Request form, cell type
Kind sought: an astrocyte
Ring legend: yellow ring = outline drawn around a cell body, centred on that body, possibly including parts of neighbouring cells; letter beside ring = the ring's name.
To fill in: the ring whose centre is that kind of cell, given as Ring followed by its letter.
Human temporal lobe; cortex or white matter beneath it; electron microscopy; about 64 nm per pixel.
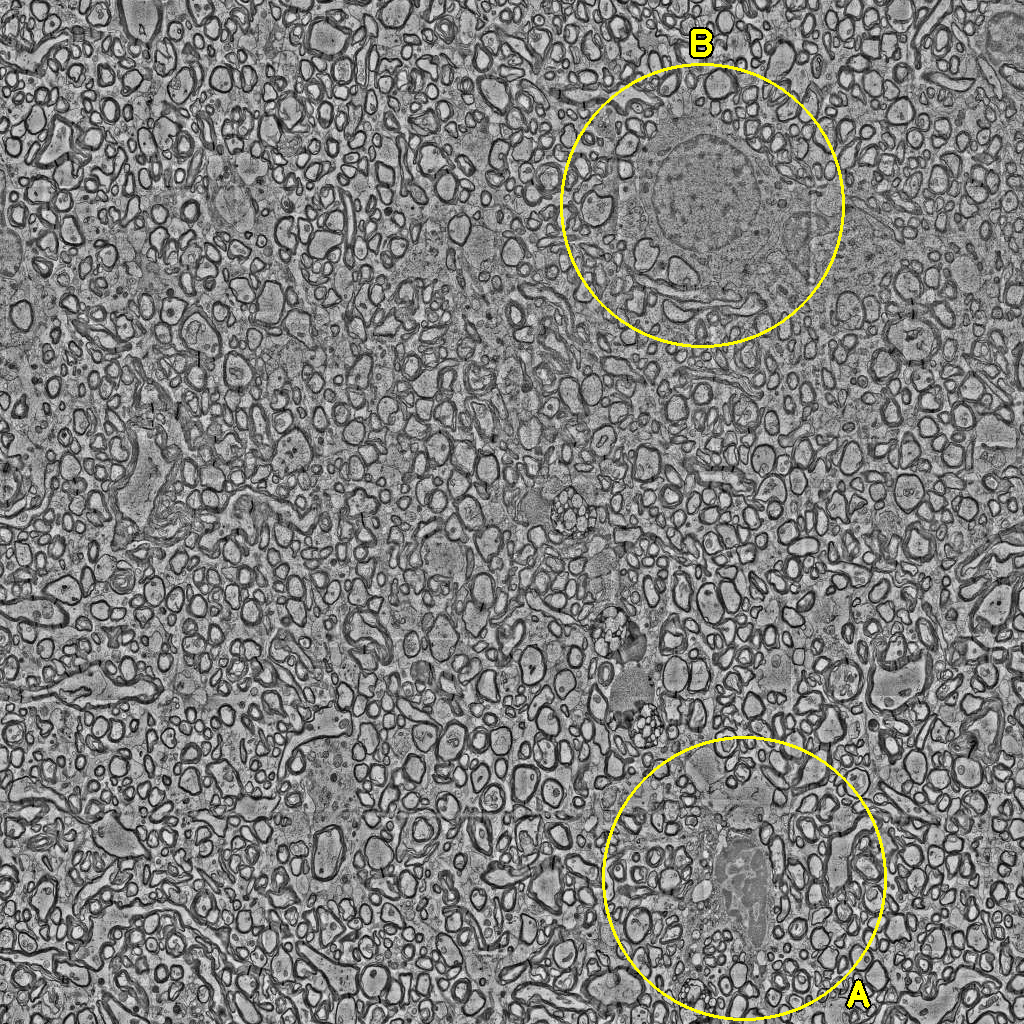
Ring A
